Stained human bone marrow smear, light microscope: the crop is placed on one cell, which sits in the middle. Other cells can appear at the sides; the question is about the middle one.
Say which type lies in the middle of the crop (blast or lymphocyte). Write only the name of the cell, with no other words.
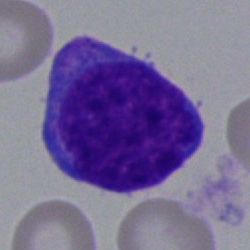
blast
